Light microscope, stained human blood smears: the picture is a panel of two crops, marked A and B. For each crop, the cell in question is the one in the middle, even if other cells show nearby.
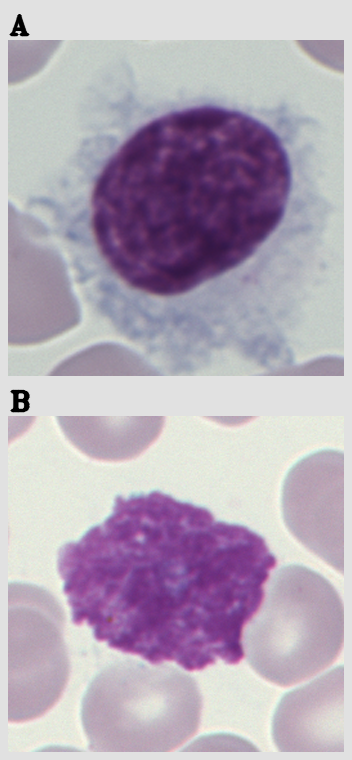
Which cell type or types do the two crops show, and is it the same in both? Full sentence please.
No, a hairy cell is depicted by crop A, a smudge cell by crop B.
